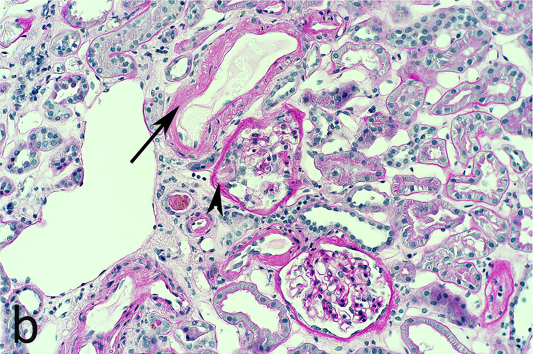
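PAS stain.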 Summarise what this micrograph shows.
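A glomerulus shows a compact tuft of capillary loops inside a capsule outlined by a bright magenta line, and a second, smaller glomerulus lies nearby. Tubules cut in cross and oblique section surround them, lined by cuboidal cells with round blue-grey nuclei and pale pink cytoplasm. To one side a vessel has a thickened, pale, homogeneous pink wall. A wide empty lumen occupies the left of the field, and thin interstitium separates the tubules.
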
